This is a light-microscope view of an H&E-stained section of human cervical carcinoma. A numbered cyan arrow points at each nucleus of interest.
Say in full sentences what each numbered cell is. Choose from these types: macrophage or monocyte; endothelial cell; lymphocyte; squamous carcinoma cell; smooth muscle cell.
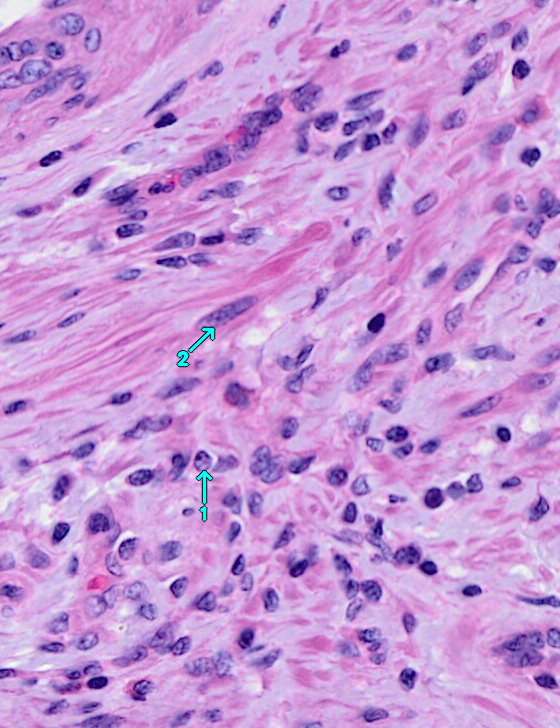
Cell 1 is a lymphocyte and cell 2 is a smooth muscle cell.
